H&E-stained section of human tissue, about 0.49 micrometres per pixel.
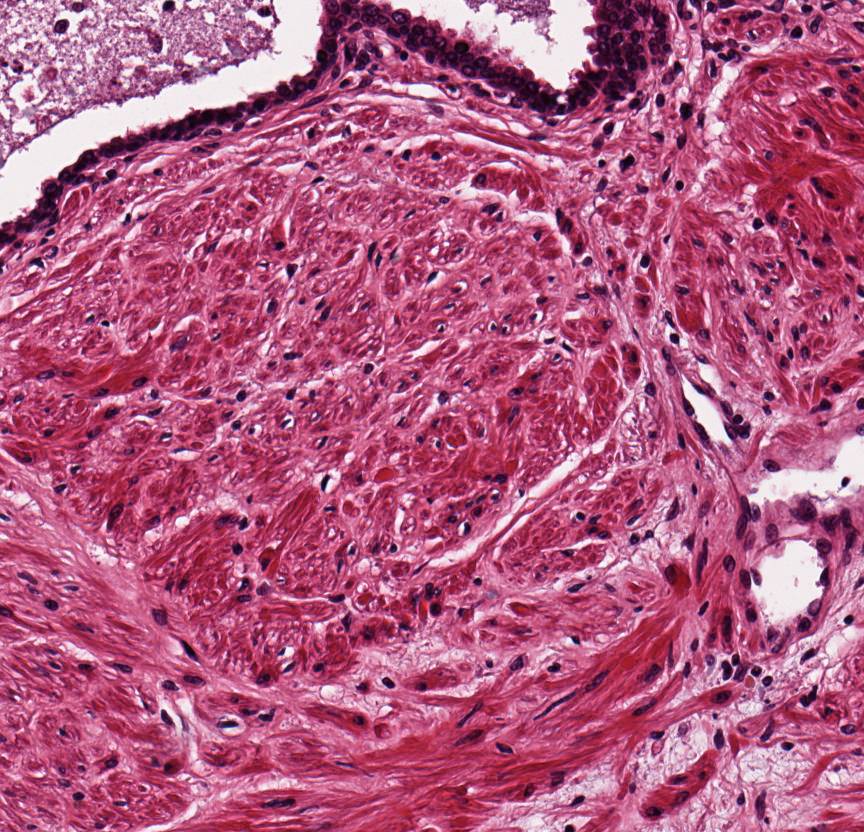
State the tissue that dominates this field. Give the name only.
fibromuscular stroma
